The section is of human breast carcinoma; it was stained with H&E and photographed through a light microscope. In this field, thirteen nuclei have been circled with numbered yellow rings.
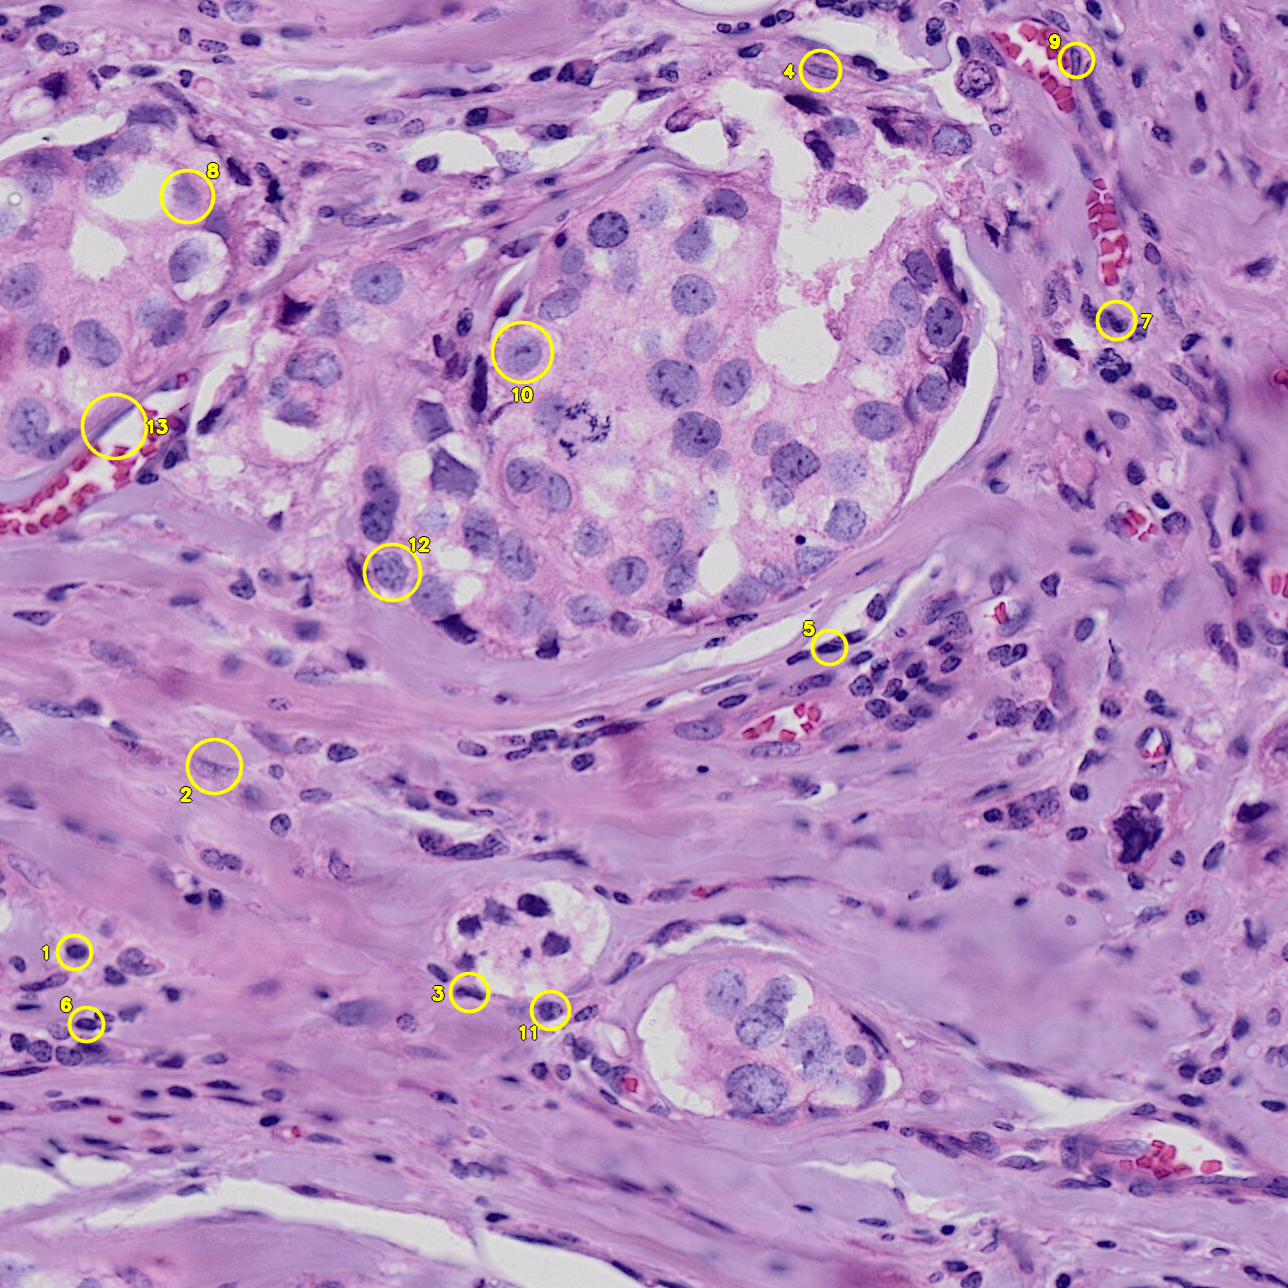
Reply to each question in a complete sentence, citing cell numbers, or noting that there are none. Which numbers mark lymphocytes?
The cells labelled 1, 3, 5, 6, 7 and 11 in this section are lymphocytes.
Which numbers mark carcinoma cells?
The numbers 8, 10 and 12 in this section indicate carcinoma cells.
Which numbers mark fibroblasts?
Of all the numbered cells, only cell 2 is a fibroblast.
